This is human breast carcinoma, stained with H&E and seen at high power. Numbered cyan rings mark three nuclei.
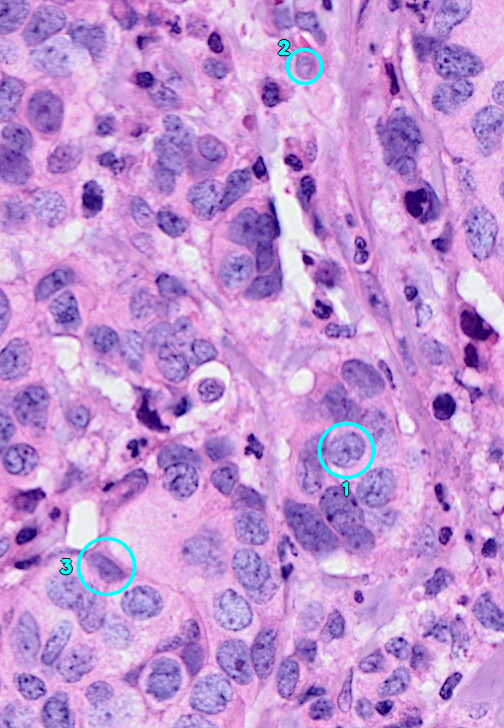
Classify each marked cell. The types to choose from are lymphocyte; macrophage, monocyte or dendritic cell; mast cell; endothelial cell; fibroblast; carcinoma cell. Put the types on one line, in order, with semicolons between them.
carcinoma cell; endothelial cell; carcinoma cell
